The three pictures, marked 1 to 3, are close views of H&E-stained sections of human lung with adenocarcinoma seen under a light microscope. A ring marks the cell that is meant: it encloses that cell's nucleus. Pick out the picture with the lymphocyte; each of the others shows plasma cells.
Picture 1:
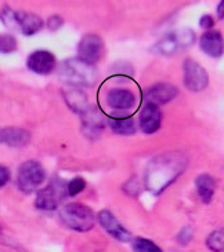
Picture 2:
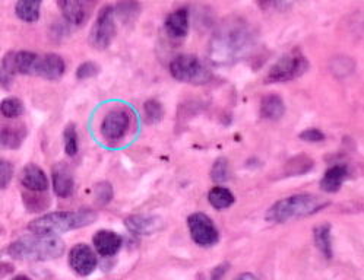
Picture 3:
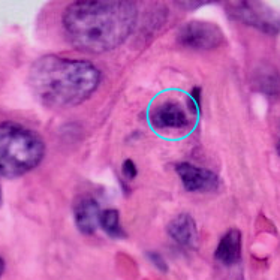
1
